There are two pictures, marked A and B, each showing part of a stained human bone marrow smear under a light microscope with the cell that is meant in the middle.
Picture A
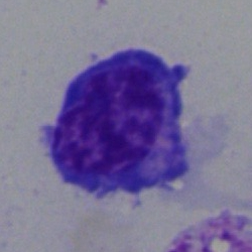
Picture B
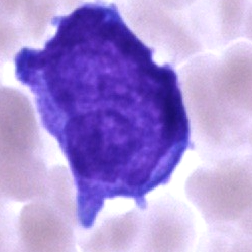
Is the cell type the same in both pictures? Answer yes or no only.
no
